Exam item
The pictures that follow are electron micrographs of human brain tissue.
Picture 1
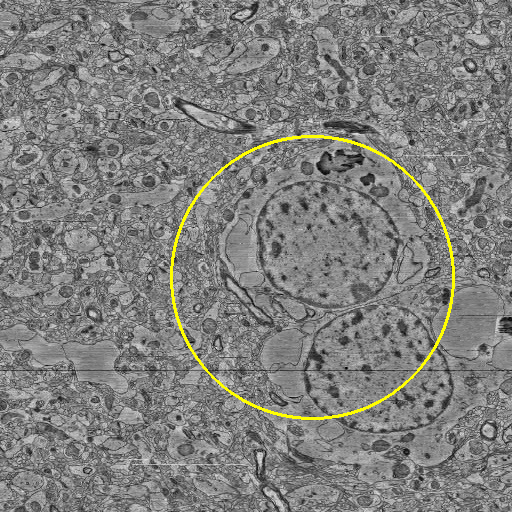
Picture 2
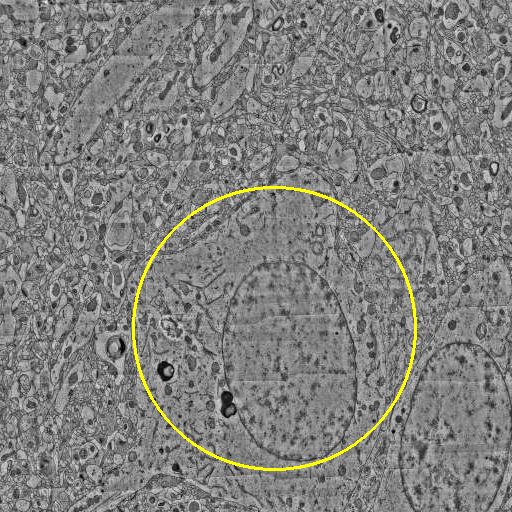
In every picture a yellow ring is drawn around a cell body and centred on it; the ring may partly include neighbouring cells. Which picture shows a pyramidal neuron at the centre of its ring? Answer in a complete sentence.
The cell at the centre of the ring in Picture 2 is the one asked for.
